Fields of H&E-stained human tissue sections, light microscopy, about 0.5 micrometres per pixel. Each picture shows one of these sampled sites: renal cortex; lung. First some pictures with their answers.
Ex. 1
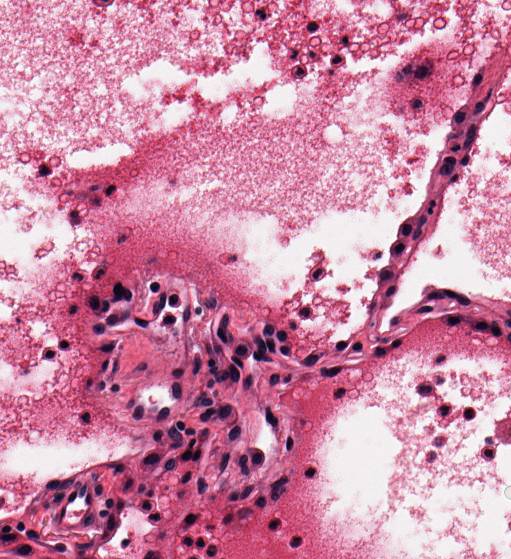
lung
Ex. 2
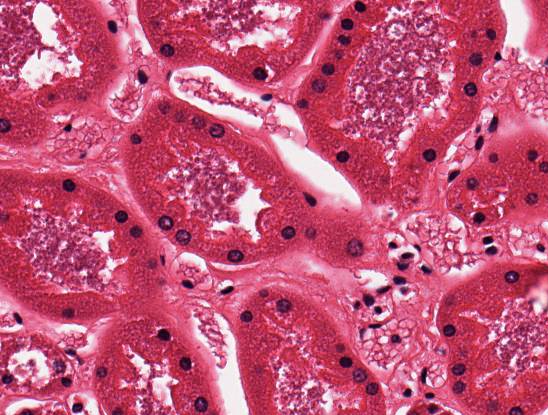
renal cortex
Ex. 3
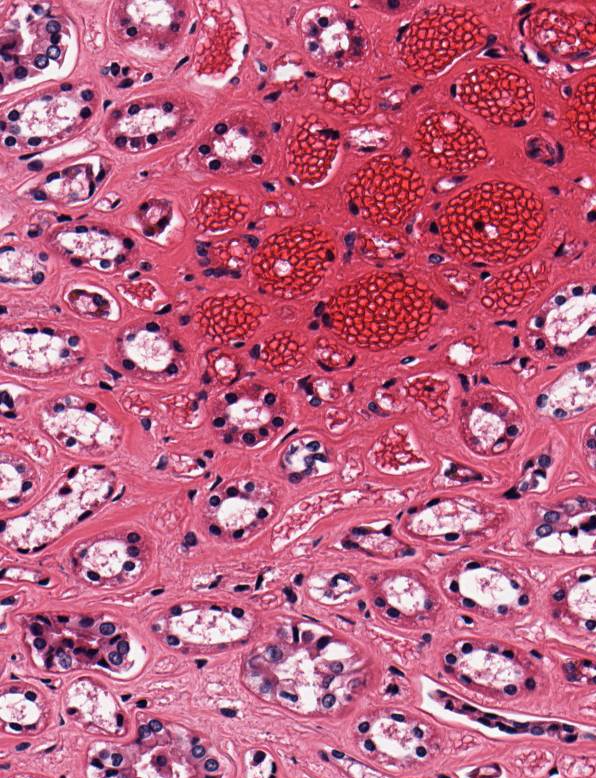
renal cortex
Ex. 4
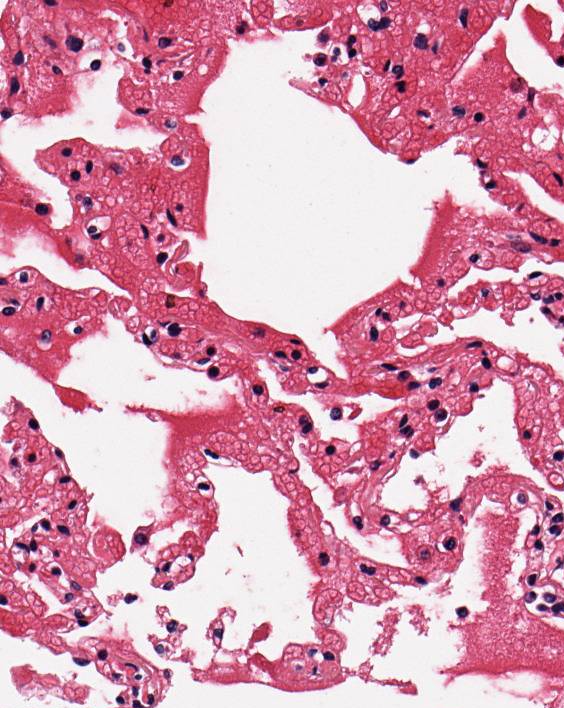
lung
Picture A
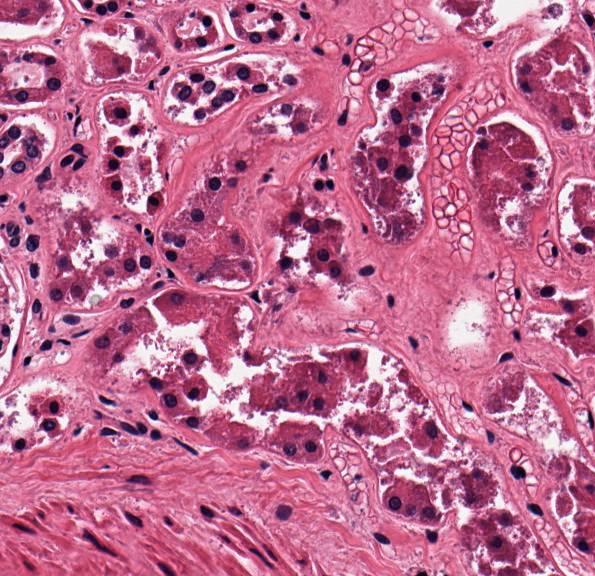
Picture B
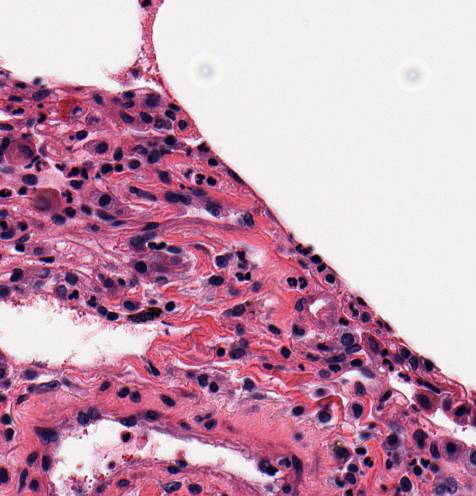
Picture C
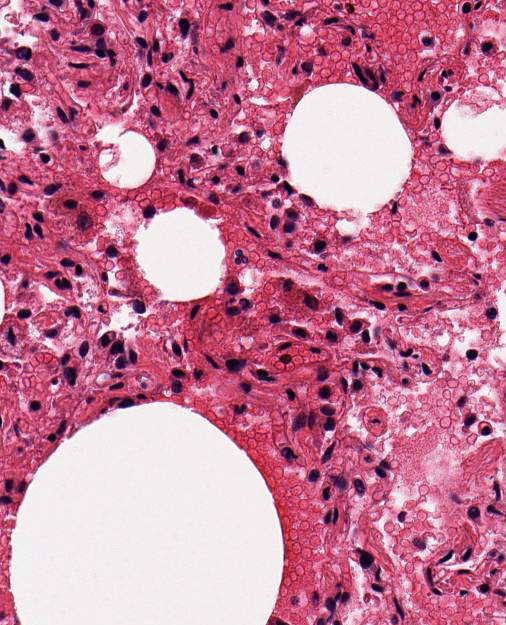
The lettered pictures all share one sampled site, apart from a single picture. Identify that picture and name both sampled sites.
Odd one out: A (renal cortex). The rest: lung.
